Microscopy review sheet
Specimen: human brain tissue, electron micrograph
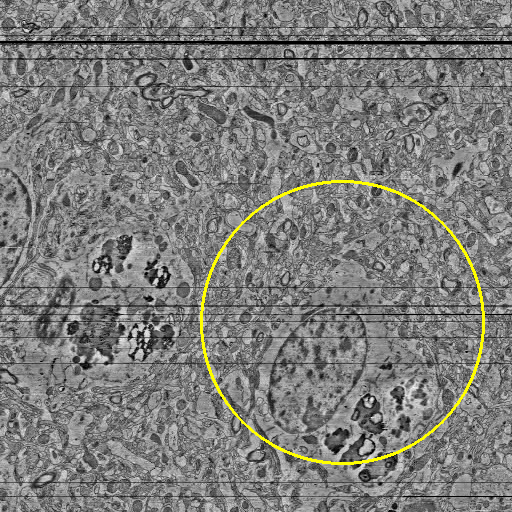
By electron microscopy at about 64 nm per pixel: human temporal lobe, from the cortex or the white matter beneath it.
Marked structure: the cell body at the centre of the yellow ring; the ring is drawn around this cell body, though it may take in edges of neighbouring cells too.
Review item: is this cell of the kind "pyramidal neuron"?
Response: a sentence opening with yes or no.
No, this cell is of another kind.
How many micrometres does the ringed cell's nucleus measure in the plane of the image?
In this plane, approximately 9 by 5 micrometers, and clearly longer than it is wide.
